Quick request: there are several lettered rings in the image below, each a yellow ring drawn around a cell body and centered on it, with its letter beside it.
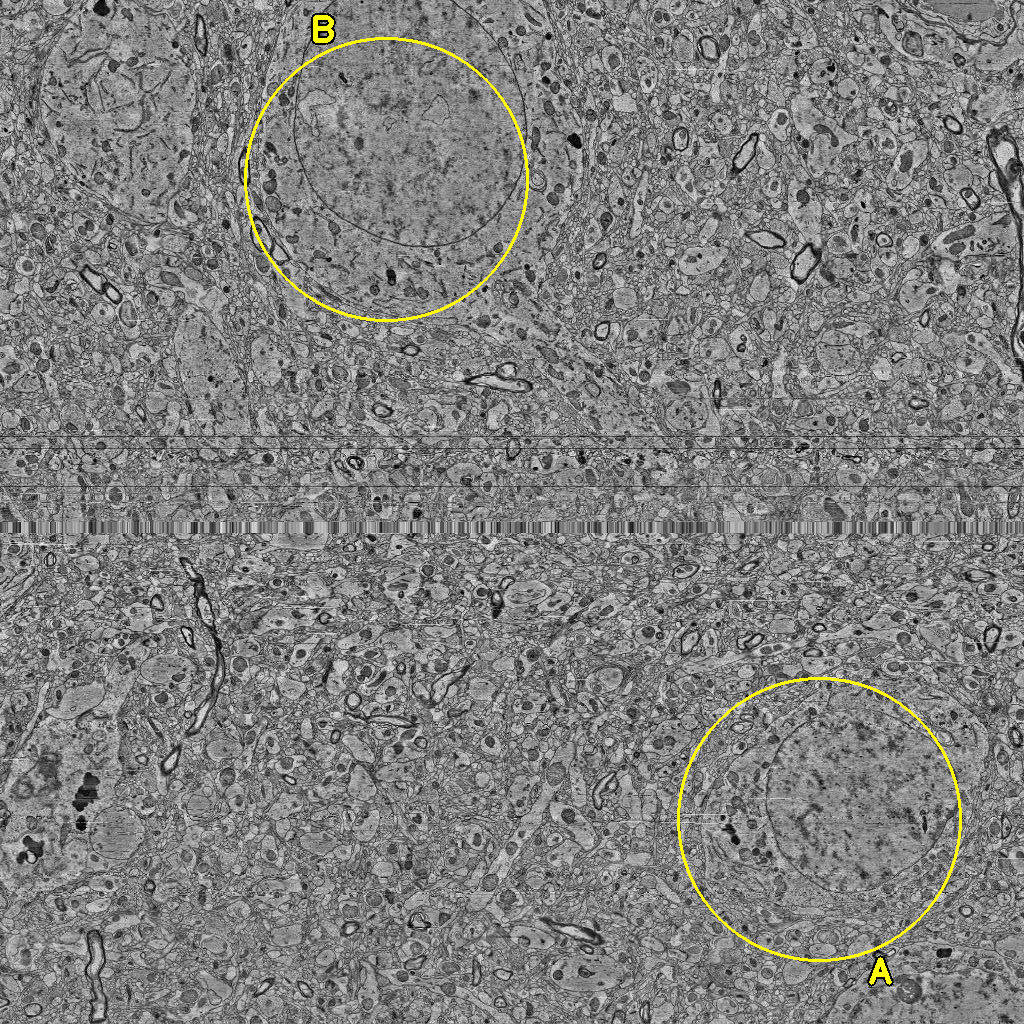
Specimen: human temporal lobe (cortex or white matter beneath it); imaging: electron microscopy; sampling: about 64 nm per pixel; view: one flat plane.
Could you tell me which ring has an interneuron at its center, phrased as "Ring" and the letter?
Ring A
